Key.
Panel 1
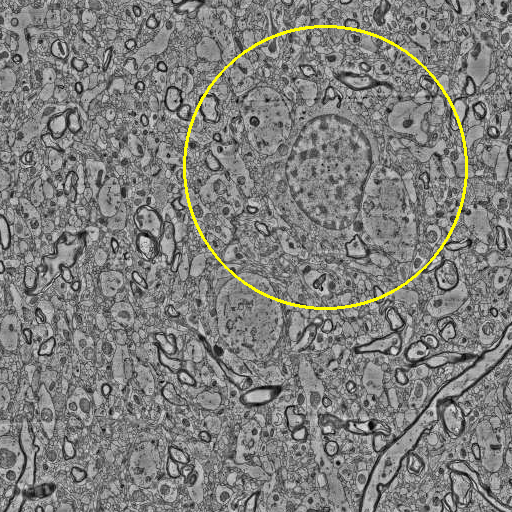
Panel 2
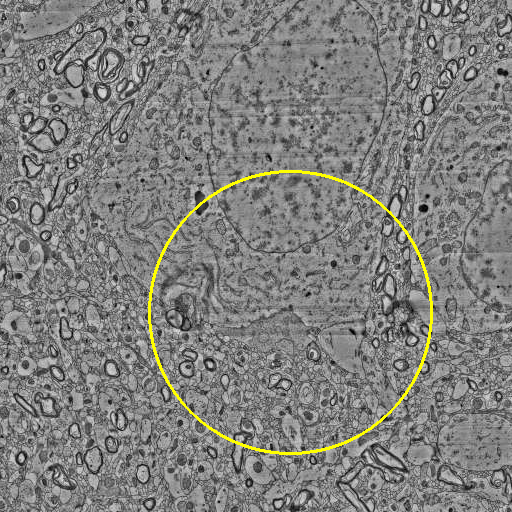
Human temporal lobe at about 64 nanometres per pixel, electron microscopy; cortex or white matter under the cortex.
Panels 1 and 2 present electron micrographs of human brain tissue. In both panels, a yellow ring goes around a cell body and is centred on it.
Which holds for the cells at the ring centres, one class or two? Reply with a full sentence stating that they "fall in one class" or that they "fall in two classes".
Taken together, the ring-centre cells of the two panels fall in one class.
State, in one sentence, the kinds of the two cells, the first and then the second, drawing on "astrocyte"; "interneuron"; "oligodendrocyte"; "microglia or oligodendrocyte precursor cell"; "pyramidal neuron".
The second cell is an oligodendrocyte, just as the first is.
